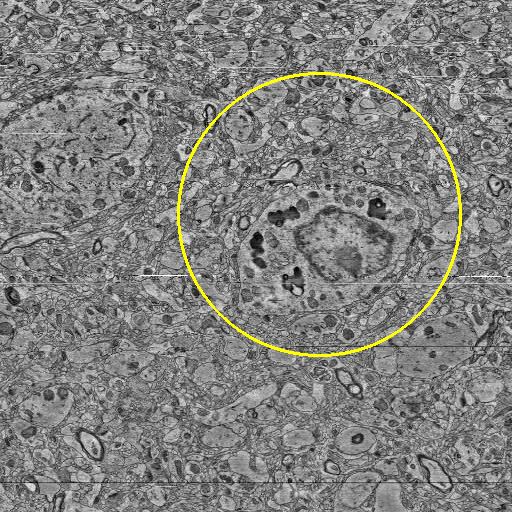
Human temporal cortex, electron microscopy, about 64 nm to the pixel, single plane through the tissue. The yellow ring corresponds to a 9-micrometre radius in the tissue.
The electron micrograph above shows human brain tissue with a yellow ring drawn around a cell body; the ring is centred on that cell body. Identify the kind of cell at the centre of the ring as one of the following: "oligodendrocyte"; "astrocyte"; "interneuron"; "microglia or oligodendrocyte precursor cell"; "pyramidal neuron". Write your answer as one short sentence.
The cell at the centre of the ring is an interneuron.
